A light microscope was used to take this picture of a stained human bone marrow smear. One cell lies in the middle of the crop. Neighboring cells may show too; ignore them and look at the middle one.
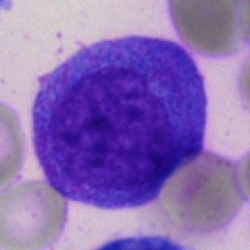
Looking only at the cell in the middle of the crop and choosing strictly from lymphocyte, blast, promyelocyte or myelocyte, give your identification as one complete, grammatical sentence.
Seen at the centre of the crop is a promyelocyte.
